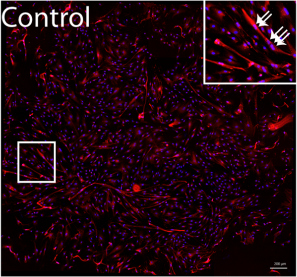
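This is a fluorescence image of a muscle cell culture in which many myoblasts and several myotubes are to be seen. Blue oval nuclei are densely scattered across the whole dish, most belonging to single, spindle-shaped or flattened cells with faint red cytoplasm. Among them run long, slender, strongly red myotubes, some crossing a large part of the field and branching or bending. The enlarged inset shows one such red tube with several nuclei lying in a row within it, showing fusion of cells into a multinucleated fibre. A few rounded, bright red bodies are also seen.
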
